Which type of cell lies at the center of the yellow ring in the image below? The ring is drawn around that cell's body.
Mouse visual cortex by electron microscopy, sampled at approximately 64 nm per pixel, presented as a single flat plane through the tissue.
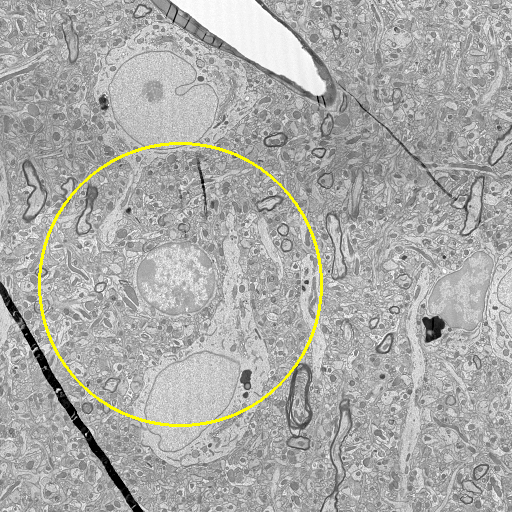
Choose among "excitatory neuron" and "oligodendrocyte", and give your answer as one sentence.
The cell body at the center belongs to an oligodendrocyte.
